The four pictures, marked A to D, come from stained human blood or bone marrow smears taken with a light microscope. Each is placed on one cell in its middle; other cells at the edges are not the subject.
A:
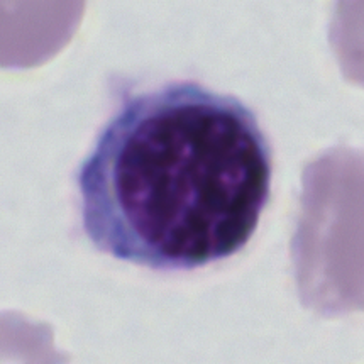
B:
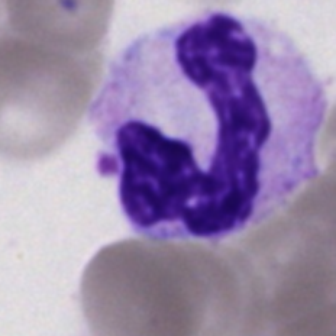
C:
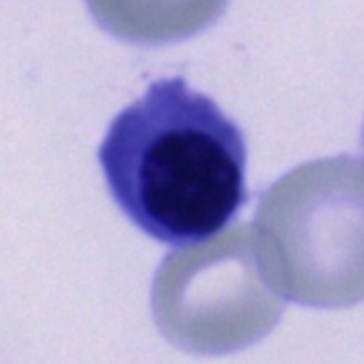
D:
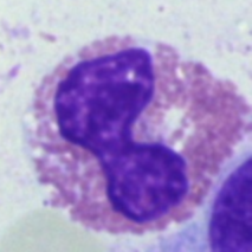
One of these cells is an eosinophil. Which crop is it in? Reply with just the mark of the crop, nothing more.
D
